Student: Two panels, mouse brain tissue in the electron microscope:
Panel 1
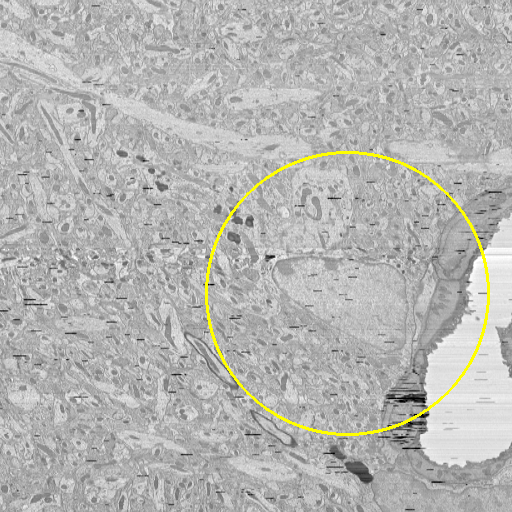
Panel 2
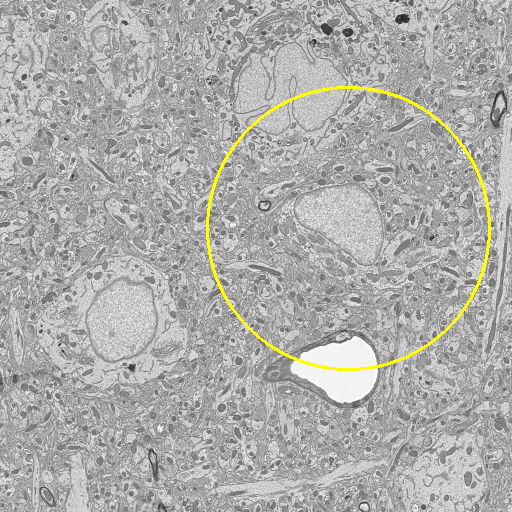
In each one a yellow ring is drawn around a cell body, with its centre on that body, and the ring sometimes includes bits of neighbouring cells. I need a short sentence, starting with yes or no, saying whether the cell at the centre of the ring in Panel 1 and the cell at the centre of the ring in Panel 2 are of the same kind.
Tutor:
Yes, they are the same kind of cell.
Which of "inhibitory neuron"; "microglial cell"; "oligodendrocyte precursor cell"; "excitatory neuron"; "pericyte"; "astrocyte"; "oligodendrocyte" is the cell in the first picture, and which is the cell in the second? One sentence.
The first and the second cell are each an astrocyte.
